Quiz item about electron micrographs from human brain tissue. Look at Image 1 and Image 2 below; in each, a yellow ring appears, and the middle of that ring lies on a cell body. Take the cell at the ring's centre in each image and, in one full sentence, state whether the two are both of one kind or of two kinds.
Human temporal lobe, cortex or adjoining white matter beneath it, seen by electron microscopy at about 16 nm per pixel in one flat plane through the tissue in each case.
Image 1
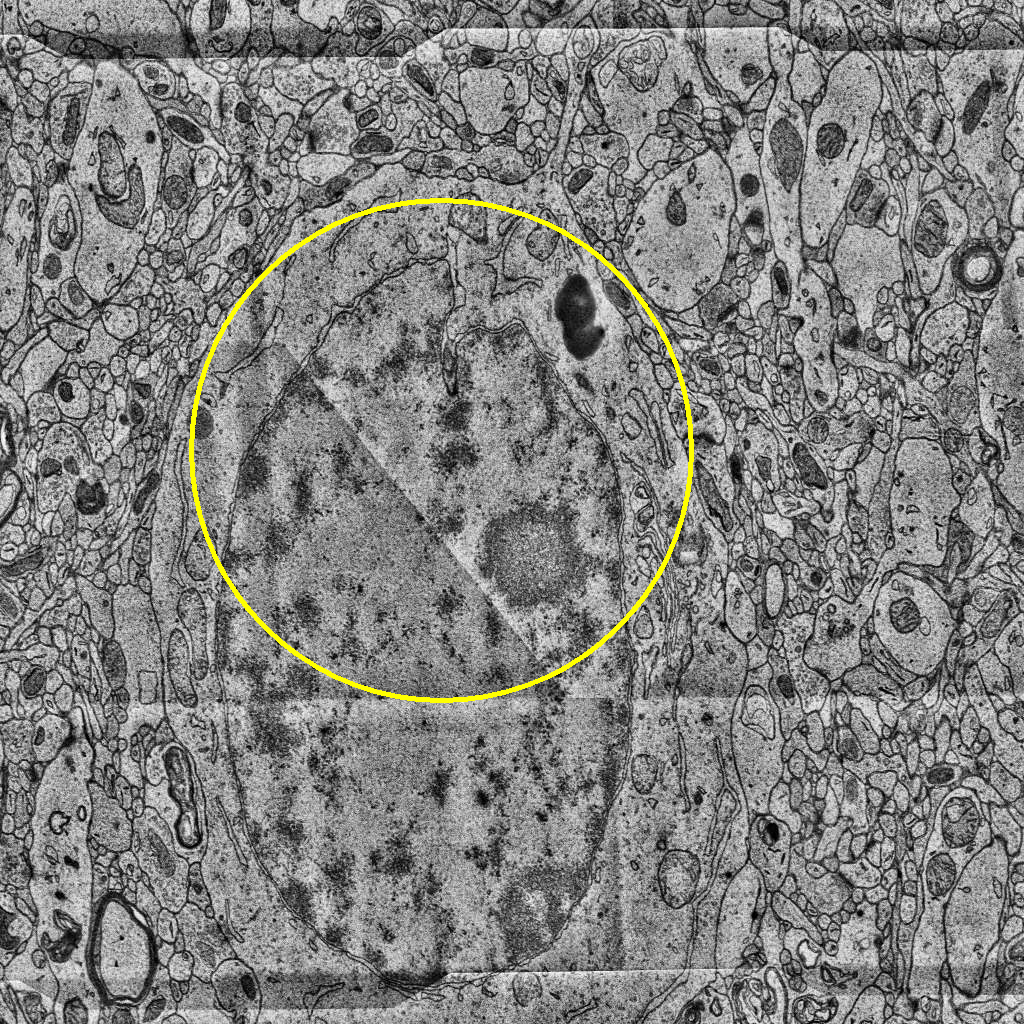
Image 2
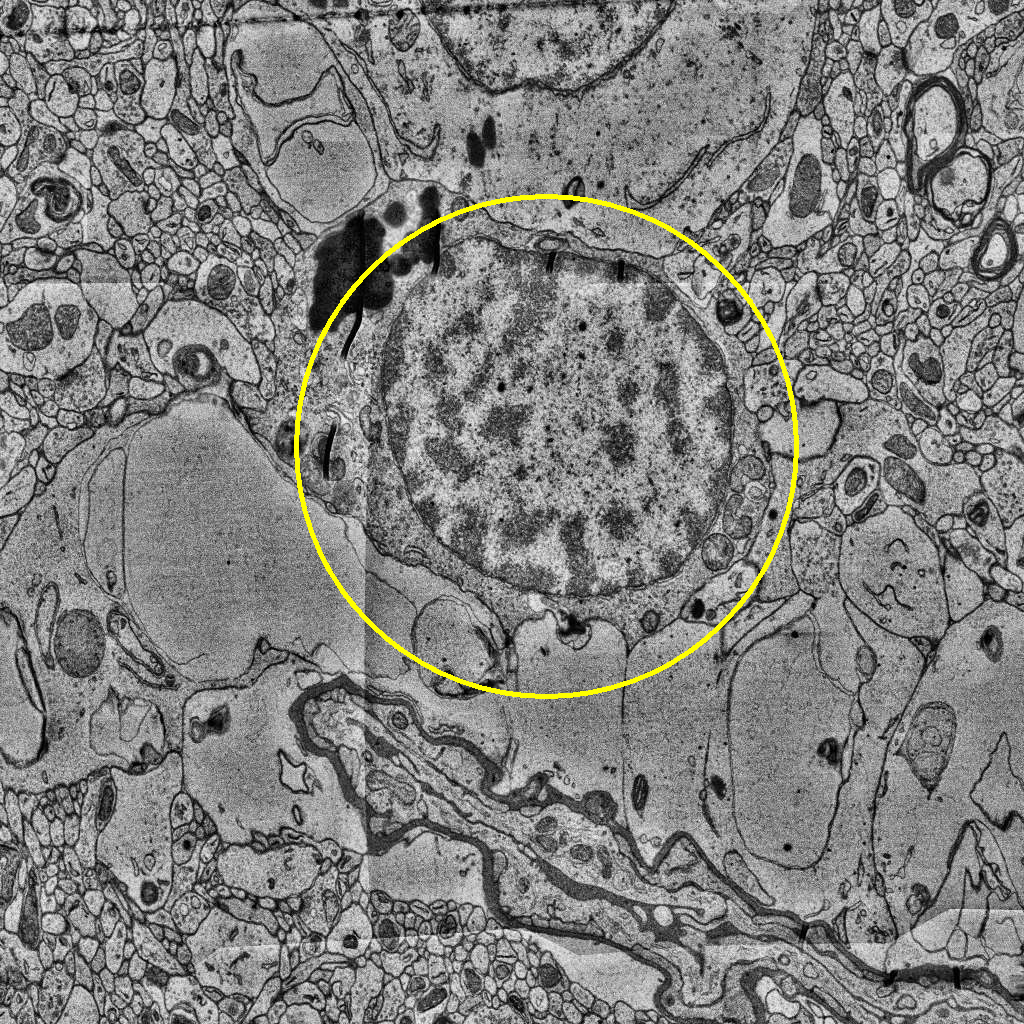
In Image 1 and Image 2, the cells at the ring centres are of two kinds.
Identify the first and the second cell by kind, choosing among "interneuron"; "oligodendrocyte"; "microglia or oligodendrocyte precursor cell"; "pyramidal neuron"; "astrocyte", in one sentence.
The ring of the first picture is on an interneuron, the ring of the second on an oligodendrocyte.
